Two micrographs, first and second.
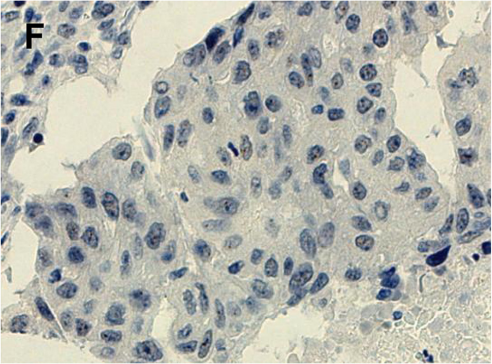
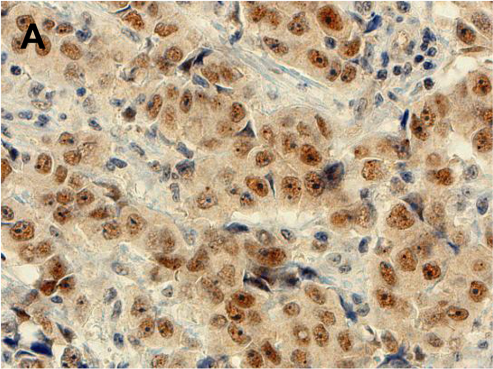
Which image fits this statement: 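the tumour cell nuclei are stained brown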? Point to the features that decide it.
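First image: tumour cell nuclei are blue only, with pale grey cytoplasm. Second image: most tumour cell nuclei are brown, with light brown cytoplasm. That points to this answer: the second image.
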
